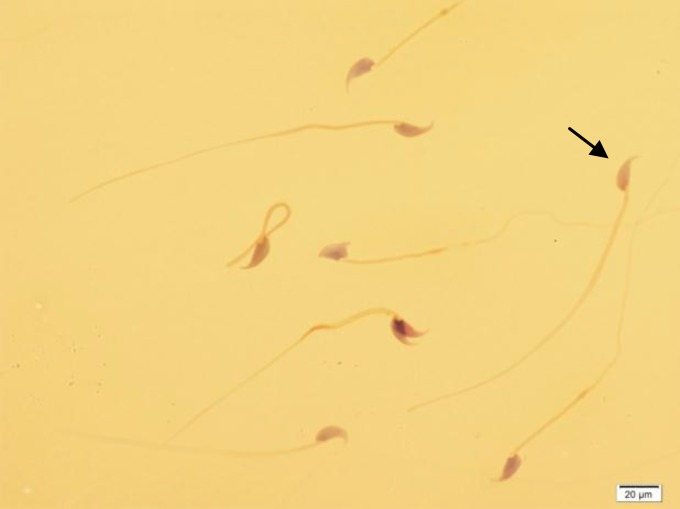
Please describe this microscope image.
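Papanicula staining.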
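This is a stained smear of spermatozoa, each with a small hook-shaped head stained purple and a long, thin, pale orange-brown tail. One tail is coiled into a loop next to its head, and some heads are set at sharp angles to their tails.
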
